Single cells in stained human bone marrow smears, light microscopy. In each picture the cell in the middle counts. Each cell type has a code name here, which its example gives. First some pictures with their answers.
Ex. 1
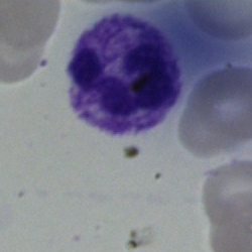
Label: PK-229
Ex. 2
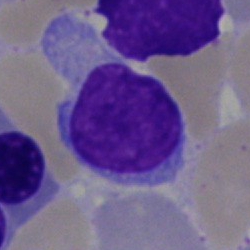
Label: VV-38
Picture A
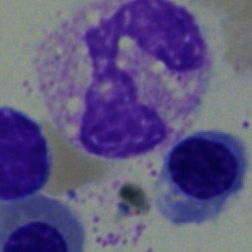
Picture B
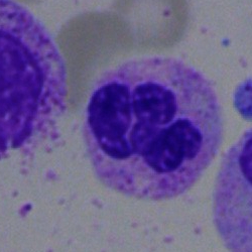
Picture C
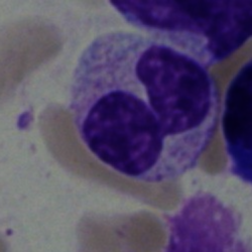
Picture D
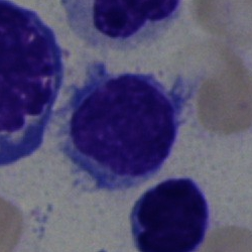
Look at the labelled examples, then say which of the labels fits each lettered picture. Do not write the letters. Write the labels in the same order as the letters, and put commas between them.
PK-229, PK-229, PK-229, VV-38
